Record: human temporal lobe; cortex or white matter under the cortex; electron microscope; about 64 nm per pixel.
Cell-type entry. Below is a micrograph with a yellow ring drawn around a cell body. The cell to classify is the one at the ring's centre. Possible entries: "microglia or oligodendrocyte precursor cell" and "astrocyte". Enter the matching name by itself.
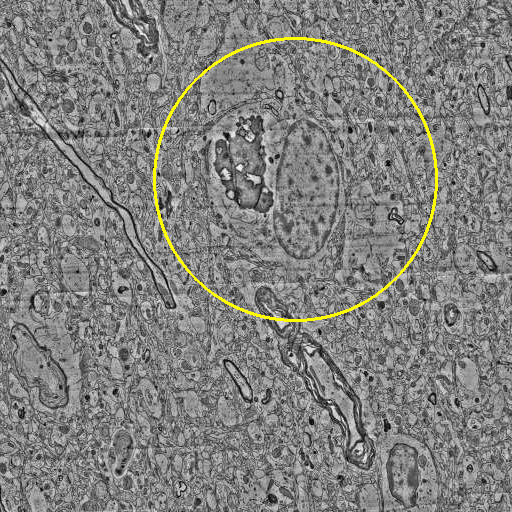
astrocyte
